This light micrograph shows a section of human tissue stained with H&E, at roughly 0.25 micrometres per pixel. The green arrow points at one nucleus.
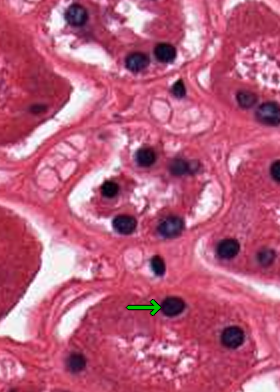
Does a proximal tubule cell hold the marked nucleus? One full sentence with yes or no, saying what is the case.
Yes, the marked nucleus sits in a proximal tubule cell.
